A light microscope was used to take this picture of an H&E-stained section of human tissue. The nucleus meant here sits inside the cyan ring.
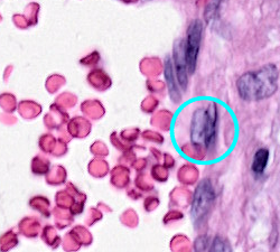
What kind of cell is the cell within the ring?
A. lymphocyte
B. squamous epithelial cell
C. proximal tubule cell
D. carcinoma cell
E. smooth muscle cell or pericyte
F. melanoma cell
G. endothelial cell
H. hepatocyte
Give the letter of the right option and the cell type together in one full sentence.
Option G names the cell within the ring correctly as an endothelial cell.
